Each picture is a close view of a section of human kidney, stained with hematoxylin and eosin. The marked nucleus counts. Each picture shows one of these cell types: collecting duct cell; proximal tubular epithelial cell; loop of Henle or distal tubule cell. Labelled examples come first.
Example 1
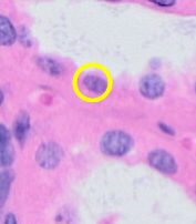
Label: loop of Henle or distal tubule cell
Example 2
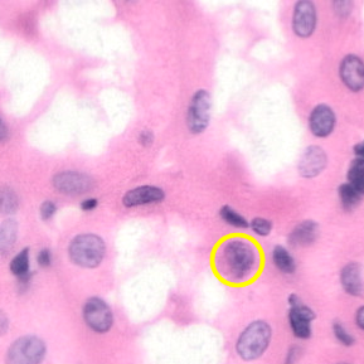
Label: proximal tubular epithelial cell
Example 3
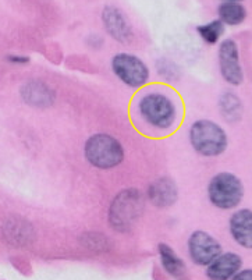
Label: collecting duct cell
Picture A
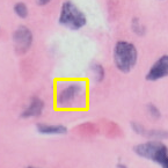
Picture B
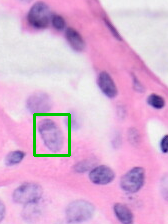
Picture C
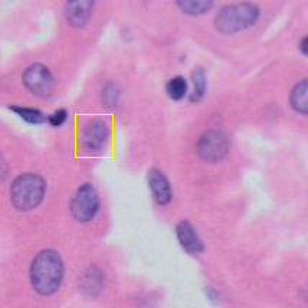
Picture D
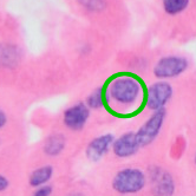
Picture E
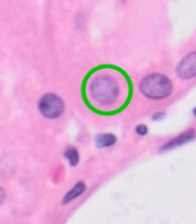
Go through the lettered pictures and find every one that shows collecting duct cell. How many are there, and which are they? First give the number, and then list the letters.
2, namely B, D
